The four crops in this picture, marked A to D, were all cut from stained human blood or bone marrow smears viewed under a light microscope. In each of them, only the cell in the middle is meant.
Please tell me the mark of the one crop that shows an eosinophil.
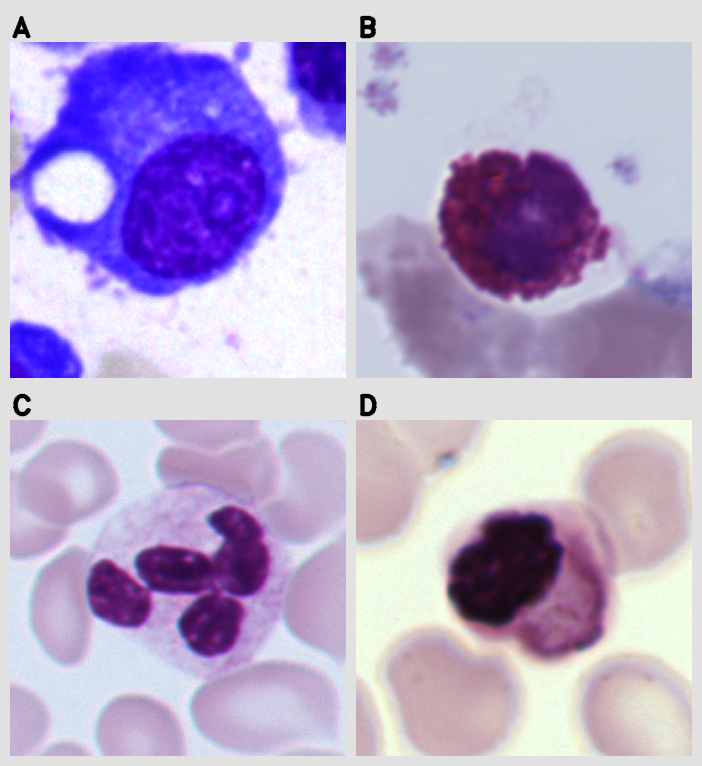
B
